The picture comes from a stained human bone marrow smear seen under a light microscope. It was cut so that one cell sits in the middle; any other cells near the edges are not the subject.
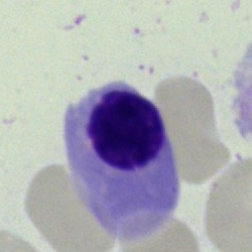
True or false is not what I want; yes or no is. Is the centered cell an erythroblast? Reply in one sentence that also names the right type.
Yes, the cell that is in the middle is an erythroblast.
